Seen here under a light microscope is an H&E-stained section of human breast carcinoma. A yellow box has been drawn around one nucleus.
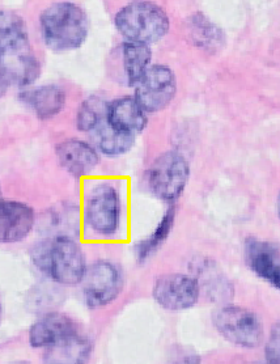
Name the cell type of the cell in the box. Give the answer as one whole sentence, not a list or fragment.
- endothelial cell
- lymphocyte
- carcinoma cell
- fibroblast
In this tissue sample, the cell in the box is a carcinoma cell.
